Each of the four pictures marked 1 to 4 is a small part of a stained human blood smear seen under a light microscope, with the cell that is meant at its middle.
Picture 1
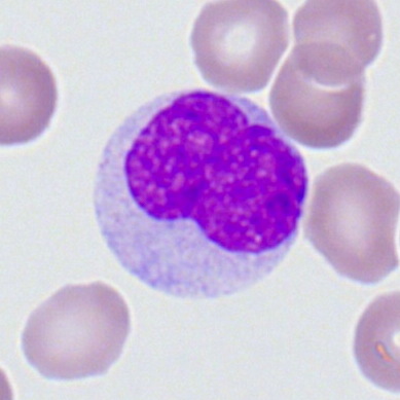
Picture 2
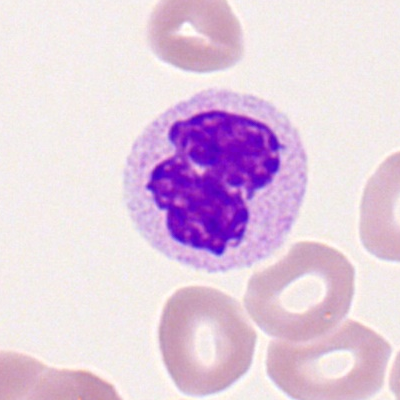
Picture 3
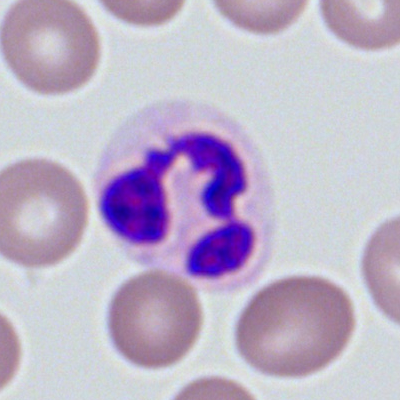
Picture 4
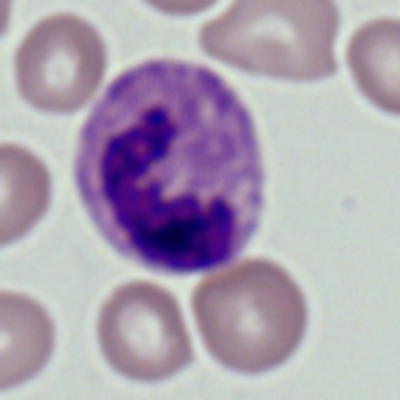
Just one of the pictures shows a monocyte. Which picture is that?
1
